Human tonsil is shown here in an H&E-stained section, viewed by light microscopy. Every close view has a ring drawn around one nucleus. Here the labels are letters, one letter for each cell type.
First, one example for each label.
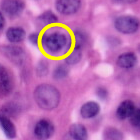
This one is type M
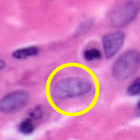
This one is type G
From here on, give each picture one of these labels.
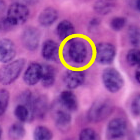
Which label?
type M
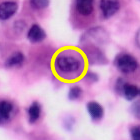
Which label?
type M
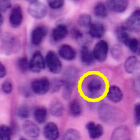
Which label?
type G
